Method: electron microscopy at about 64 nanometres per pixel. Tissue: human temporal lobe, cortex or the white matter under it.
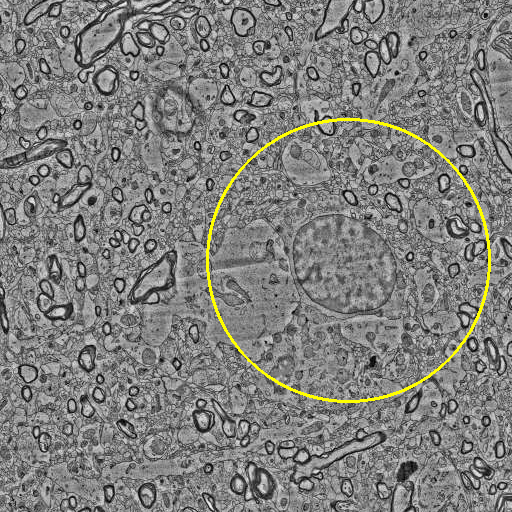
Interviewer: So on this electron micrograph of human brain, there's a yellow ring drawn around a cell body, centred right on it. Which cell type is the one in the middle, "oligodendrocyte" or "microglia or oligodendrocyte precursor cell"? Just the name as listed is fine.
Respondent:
oligodendrocyte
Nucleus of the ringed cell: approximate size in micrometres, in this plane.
In this plane, roughly 7 by 6 micrometres.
